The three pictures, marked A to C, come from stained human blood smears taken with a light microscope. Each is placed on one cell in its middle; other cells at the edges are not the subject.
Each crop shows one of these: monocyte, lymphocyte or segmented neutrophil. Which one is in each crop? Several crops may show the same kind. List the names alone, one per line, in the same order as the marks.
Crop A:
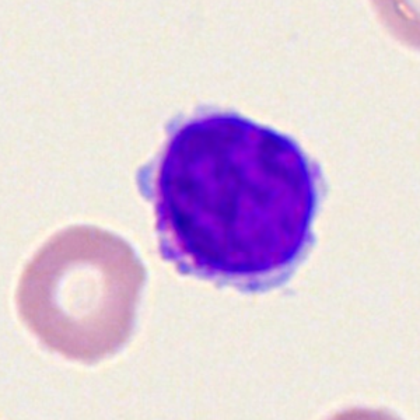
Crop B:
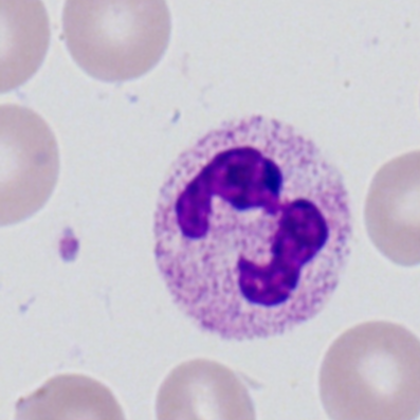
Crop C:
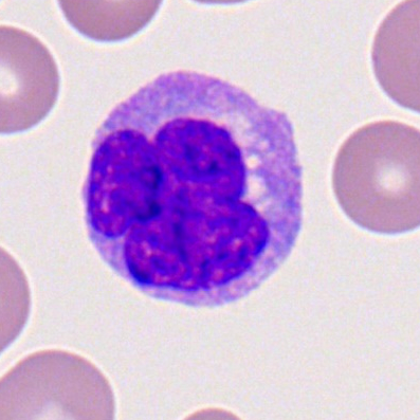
lymphocyte
segmented neutrophil
monocyte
